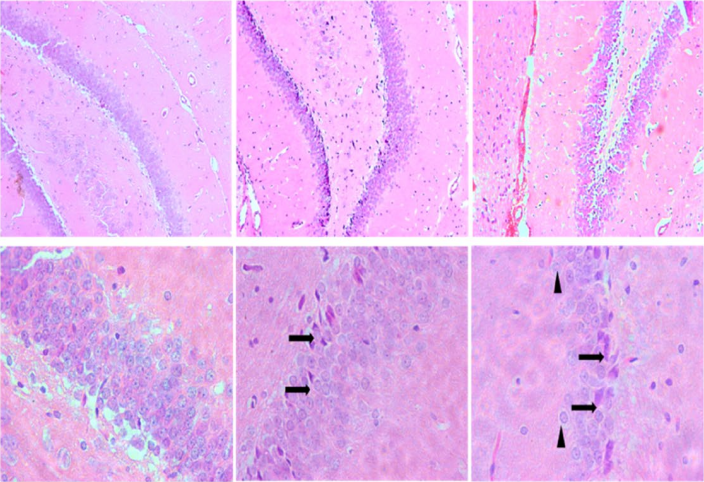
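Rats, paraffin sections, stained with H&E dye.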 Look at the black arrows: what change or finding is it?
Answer: A triangular cell with an unclear nucleus.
